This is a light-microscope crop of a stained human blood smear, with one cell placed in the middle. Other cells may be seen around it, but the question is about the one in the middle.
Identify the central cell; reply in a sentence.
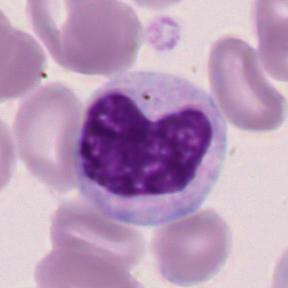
At the center of the crop sits a metamyelocyte.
